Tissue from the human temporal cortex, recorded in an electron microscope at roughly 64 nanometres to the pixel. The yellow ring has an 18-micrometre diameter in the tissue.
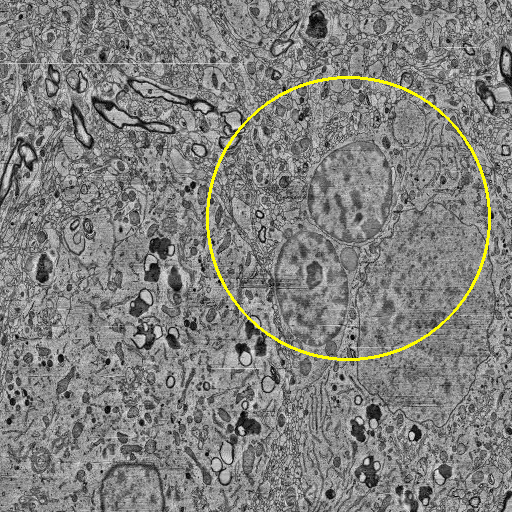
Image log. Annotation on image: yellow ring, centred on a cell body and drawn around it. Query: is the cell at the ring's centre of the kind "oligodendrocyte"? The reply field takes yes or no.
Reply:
yes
